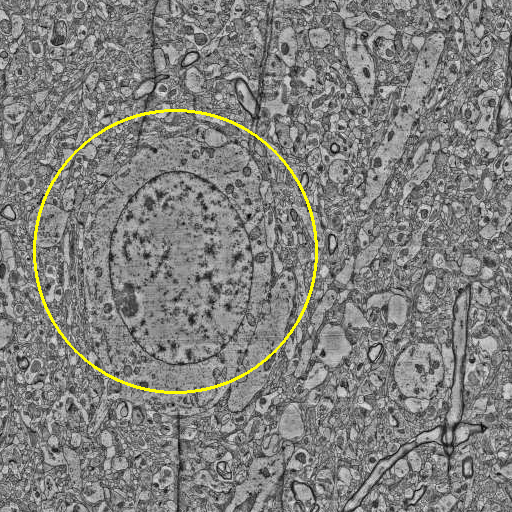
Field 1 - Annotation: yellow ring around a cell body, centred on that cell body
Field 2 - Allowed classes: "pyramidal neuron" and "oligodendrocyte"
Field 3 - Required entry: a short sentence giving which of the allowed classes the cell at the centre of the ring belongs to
The centred cell is a pyramidal neuron.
